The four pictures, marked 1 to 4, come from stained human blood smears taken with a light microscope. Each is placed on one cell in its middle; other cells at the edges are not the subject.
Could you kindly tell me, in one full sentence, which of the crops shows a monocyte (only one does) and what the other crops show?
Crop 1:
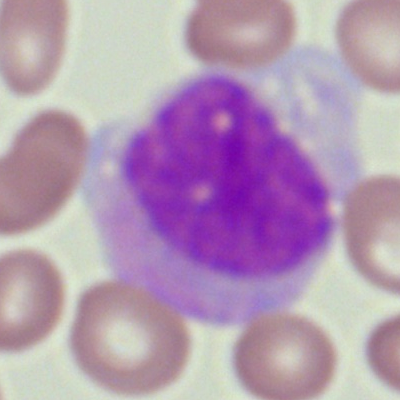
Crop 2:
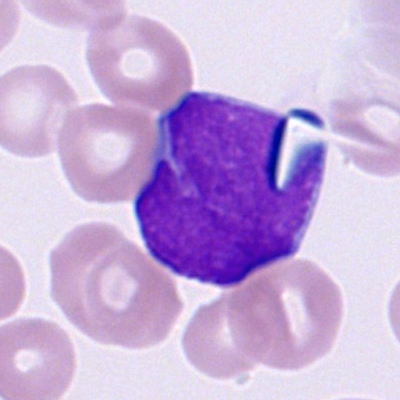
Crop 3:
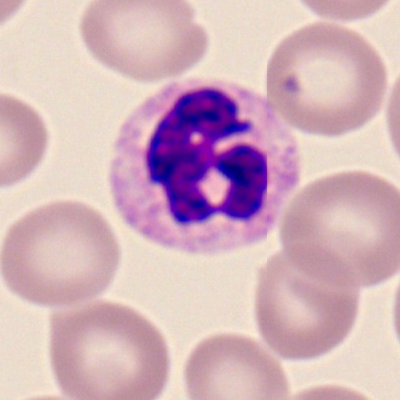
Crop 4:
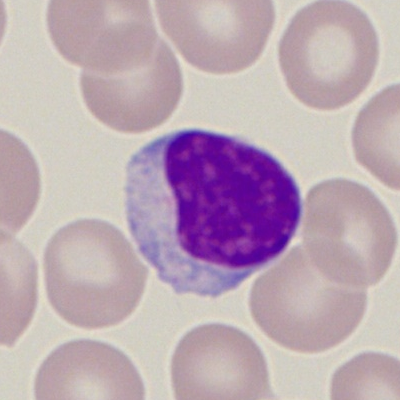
Crop 1 shows a monocyte, and as for the other crops, crop 2 is a myeloblast, crop 3 is a segmented neutrophil and crop 4 is a lymphocyte.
